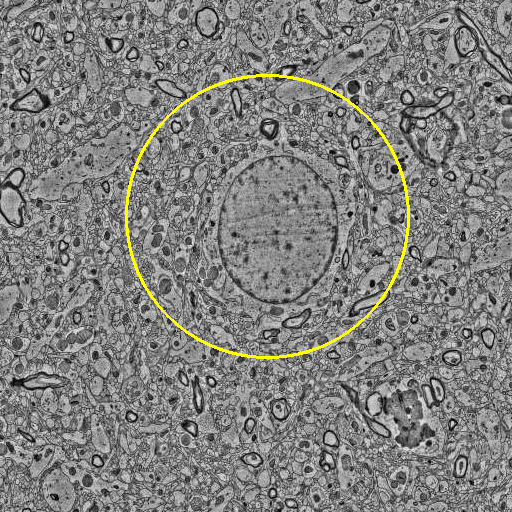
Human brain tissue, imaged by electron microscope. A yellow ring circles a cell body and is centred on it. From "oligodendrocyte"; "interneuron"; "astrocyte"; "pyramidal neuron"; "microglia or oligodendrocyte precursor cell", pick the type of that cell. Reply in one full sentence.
The cell body at the centre of the yellow ring belongs to an astrocyte.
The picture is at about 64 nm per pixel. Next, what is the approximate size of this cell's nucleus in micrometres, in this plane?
Roughly 9 micrometres by 8 micrometres, in this plane.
